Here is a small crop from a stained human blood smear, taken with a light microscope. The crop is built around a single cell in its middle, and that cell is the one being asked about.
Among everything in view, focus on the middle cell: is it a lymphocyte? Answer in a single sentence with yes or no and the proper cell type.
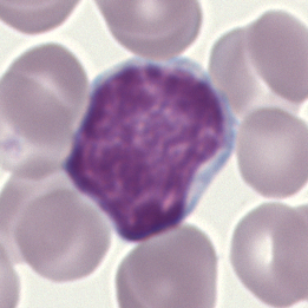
Yes, the cell at the centre of this crop is identified as a lymphocyte.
